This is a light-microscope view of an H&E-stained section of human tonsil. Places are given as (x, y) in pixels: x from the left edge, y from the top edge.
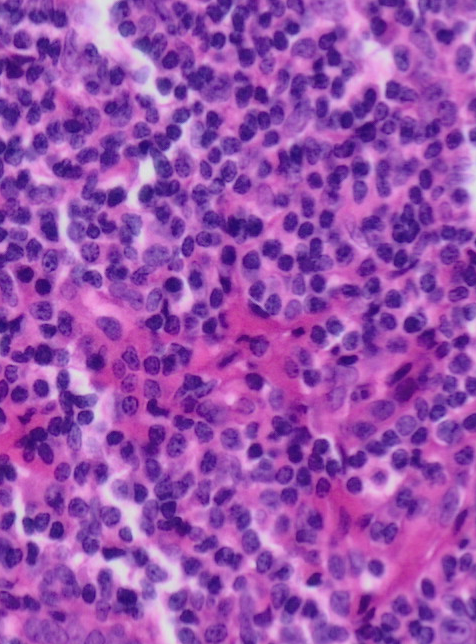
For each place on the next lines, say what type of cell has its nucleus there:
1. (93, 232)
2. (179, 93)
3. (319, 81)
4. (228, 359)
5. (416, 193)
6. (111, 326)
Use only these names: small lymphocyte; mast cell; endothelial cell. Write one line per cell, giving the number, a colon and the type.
1: small lymphocyte
2: small lymphocyte
3: small lymphocyte
4: endothelial cell
5: small lymphocyte
6: endothelial cell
